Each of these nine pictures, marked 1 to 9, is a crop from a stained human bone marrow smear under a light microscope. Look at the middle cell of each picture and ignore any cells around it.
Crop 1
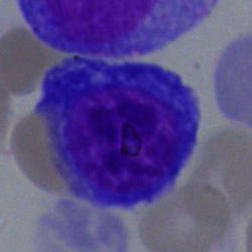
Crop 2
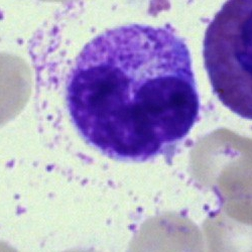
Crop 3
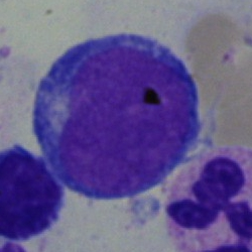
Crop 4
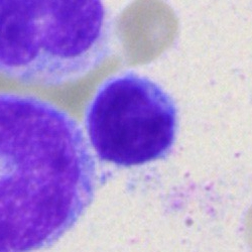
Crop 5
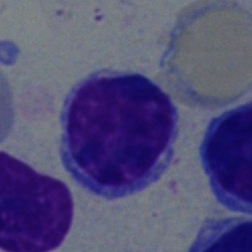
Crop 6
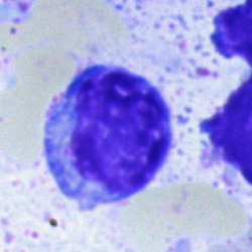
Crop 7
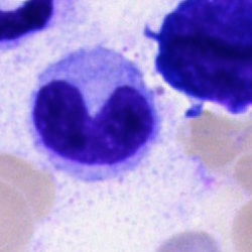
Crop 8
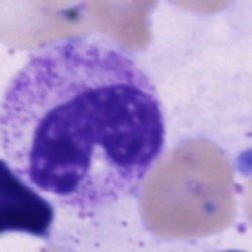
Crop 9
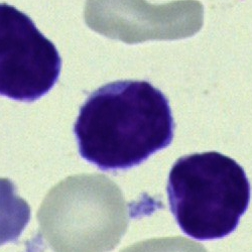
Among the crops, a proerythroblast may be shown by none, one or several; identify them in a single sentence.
Crops 1 and 3 are the ones showing proerythroblasts.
